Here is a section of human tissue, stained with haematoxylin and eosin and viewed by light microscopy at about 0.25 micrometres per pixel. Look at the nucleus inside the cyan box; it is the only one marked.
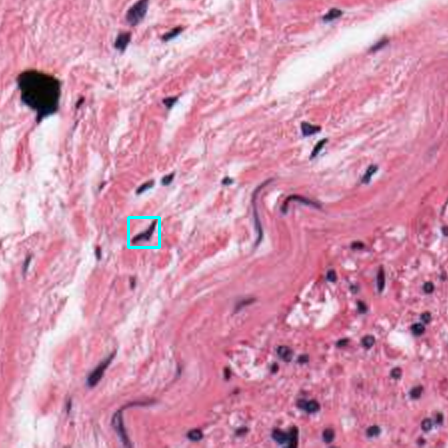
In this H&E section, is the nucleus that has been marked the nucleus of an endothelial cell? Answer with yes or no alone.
no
